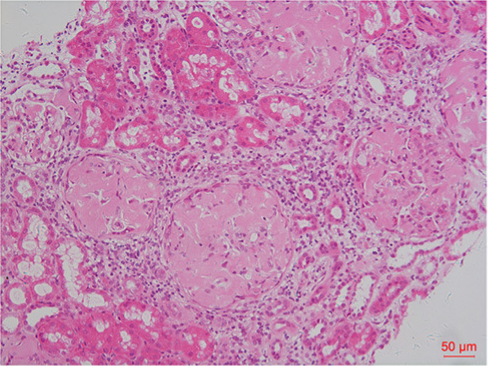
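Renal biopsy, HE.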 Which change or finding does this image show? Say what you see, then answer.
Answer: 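Massive amorphous eosinophilic deposits. Large round glomeruli are filled with homogeneous pale pink material. The pink material has no clear cellular structure. Few nuclei remain within the glomerular tufts.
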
